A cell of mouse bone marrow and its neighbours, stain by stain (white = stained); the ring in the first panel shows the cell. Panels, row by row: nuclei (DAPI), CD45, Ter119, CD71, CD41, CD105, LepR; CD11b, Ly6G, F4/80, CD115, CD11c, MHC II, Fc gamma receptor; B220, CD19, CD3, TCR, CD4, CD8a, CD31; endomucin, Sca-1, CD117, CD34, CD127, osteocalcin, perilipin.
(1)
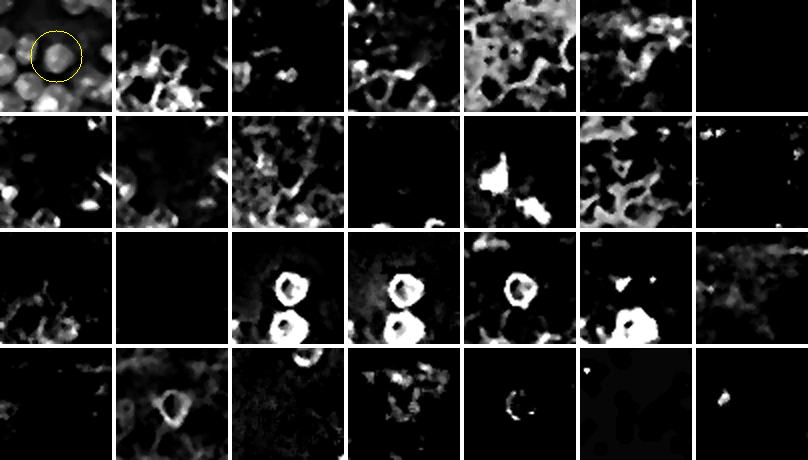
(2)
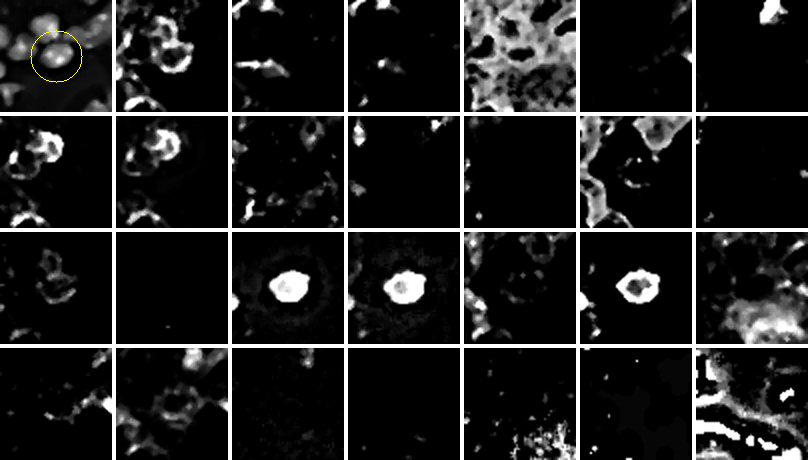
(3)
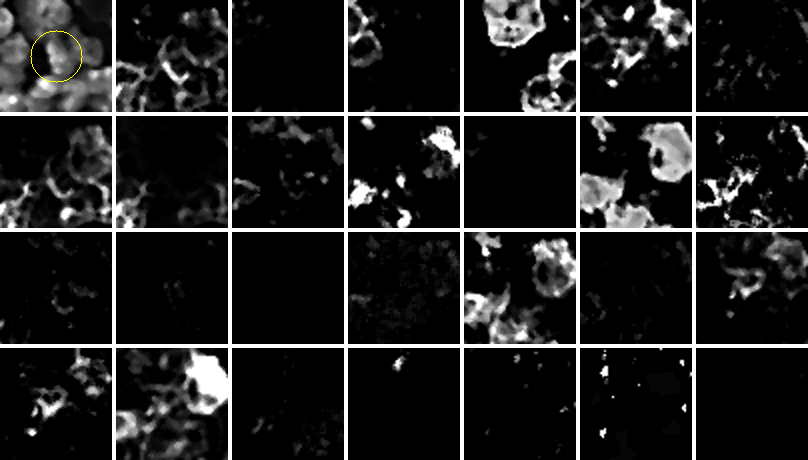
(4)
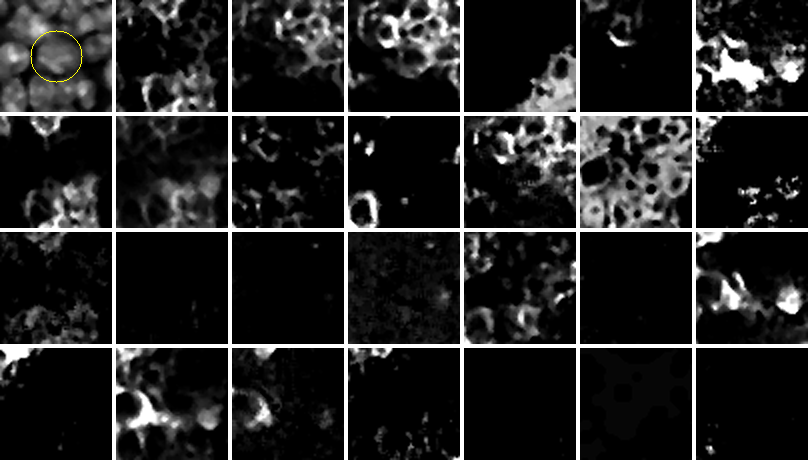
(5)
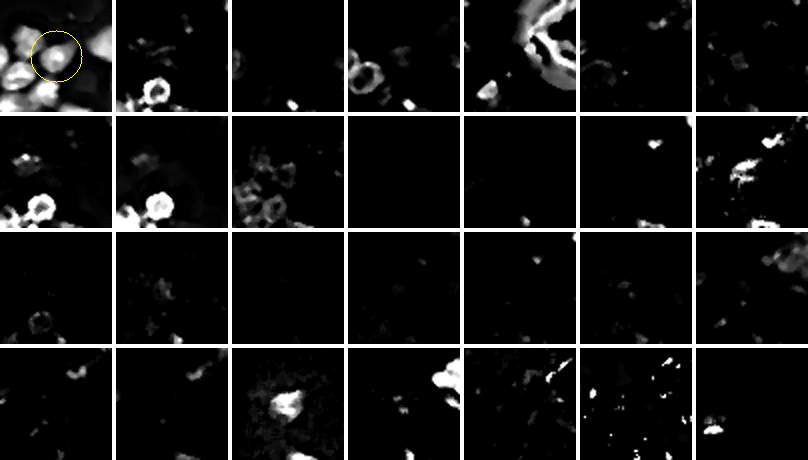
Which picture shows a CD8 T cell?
Picture 2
